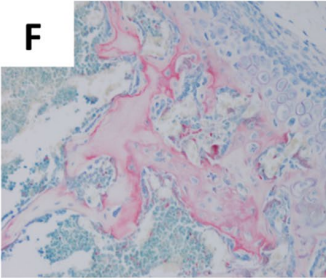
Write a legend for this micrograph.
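Broad, irregular branching bands of tissue stain bright pink-red, and between them lie closely packed small blue-green cells. Toward the right edge, pale blue matrix holds rounded cells sitting singly in clear spaces.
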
